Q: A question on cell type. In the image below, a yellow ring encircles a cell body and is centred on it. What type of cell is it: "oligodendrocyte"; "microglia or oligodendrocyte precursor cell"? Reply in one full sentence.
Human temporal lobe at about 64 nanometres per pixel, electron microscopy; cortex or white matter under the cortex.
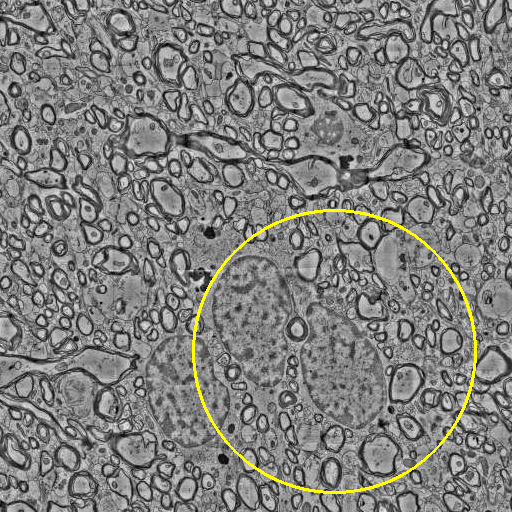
It is an oligodendrocyte whose cell body sits at the centre of the yellow ring in the image.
